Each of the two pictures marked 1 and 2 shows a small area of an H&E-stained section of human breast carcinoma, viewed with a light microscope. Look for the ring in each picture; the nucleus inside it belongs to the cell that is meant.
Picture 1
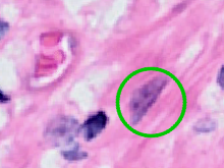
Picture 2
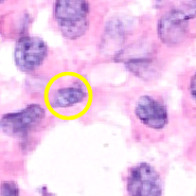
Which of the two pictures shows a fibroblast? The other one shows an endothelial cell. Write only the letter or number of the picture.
1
